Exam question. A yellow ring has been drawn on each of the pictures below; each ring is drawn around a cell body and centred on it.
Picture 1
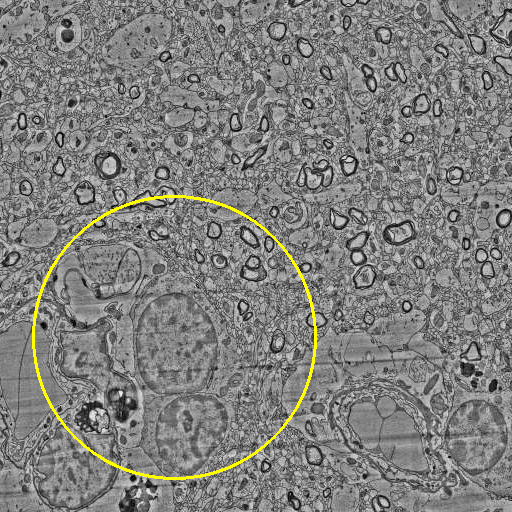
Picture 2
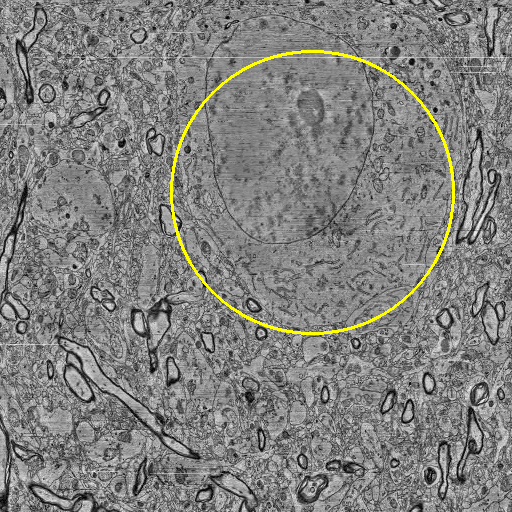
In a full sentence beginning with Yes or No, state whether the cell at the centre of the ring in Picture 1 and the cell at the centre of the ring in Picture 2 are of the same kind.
No, the cells are of two kinds.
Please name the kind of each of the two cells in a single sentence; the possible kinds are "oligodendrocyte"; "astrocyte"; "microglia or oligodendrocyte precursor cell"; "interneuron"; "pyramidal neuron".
In the first picture the ring is centred on an oligodendrocyte, and in the second on a pyramidal neuron.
